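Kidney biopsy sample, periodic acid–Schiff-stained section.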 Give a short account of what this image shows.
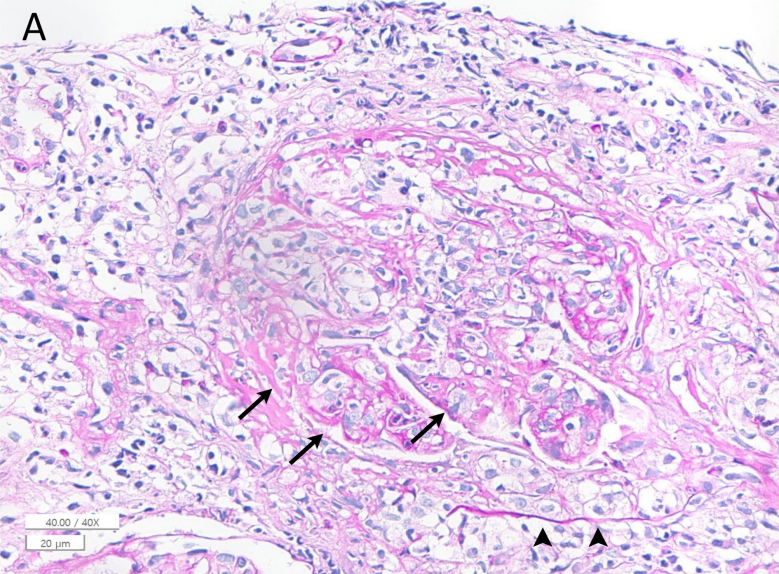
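The capillary tuft sits in the centre, its loops outlined by magenta basement membranes, but in places the outlines are replaced by smudgy, intensely magenta material. Around the tuft, inside the thin magenta capsule, crowded cells with pale, vacuolated cytoplasm and oval bluish nuclei fill the urinary space, forming a layer that compresses the tuft. The surrounding interstitium is loose and pale, with scattered nuclei of inflammatory and stromal cells and profiles of tubules with pale cytoplasm.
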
